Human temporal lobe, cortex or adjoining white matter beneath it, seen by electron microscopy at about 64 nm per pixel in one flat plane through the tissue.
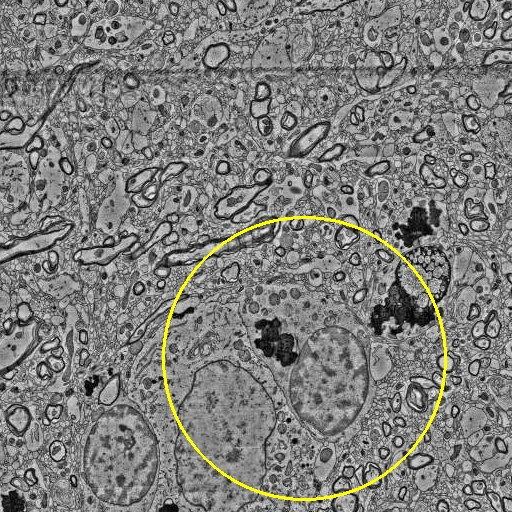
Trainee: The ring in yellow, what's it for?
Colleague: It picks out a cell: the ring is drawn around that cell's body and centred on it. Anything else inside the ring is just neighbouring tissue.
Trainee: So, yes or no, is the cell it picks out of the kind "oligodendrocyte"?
yes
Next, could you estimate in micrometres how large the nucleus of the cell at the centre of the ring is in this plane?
In this plane the nucleus is about 7 micrometres by 5.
